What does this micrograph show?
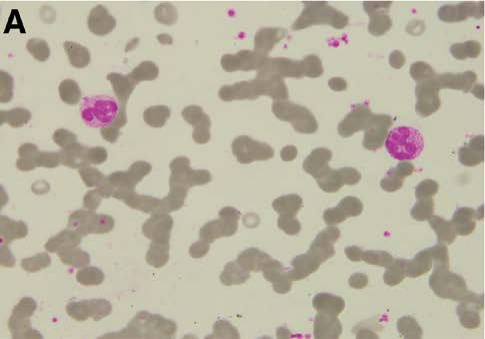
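This peripheral blood smear shows red cells that are heaped into coin-shaped stacks. The grey-pink red cells lie against one another in long chains and branching strings, and only a few lie singly. Two white cells with purple, lobed nuclei stand out in the field, and small pink specks are scattered over the pale background.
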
